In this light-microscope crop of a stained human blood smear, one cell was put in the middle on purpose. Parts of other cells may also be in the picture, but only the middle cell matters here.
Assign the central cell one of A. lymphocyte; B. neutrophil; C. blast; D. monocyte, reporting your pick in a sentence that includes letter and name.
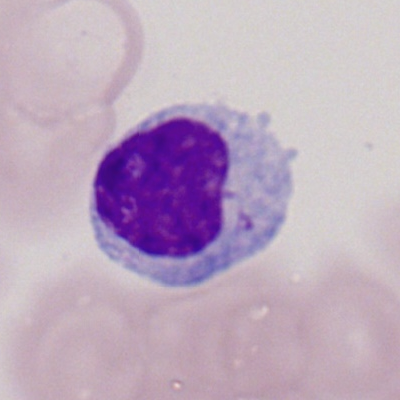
Option A is accurate; the centrally placed cell is a lymphocyte.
